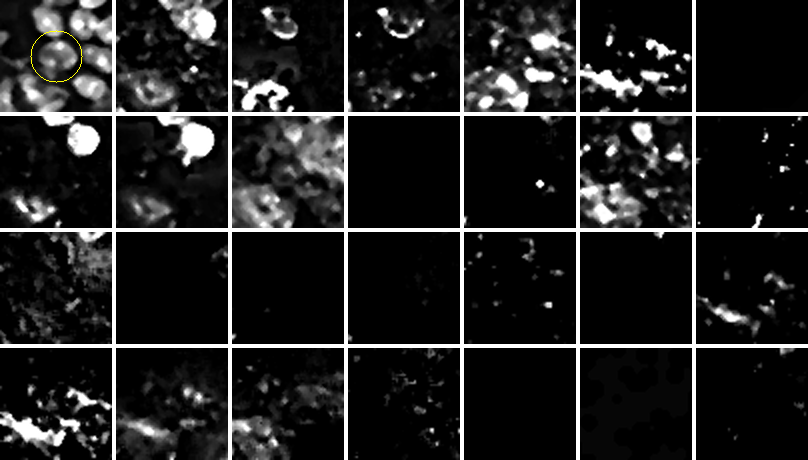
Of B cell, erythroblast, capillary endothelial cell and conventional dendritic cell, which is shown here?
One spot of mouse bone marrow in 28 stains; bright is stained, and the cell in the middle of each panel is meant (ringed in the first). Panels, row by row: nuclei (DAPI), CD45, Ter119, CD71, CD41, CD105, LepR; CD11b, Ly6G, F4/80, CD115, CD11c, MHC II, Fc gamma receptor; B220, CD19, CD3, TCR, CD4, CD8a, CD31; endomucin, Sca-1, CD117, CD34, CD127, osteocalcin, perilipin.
capillary endothelial cell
